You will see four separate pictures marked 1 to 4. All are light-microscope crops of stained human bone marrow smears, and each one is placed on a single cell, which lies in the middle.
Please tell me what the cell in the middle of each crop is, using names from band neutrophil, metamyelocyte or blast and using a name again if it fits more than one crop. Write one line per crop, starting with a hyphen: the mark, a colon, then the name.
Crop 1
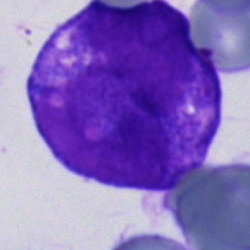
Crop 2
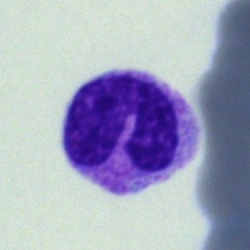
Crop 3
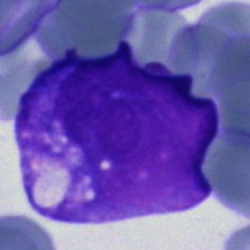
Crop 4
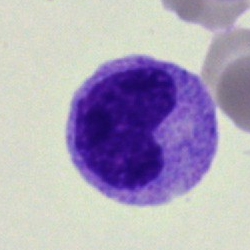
- 1: blast
- 2: band neutrophil
- 3: blast
- 4: metamyelocyte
